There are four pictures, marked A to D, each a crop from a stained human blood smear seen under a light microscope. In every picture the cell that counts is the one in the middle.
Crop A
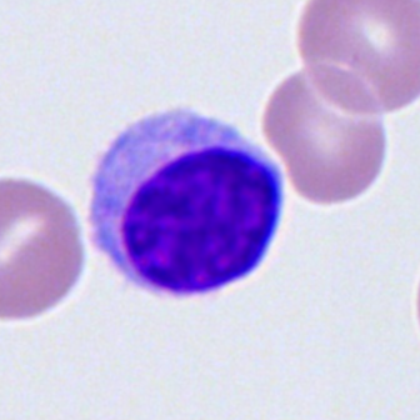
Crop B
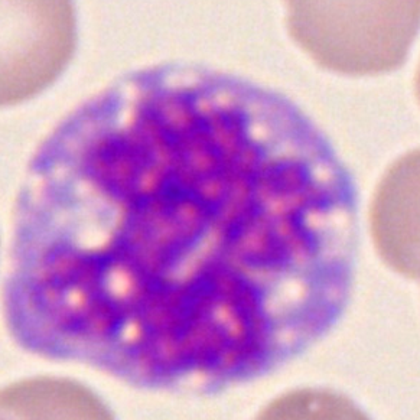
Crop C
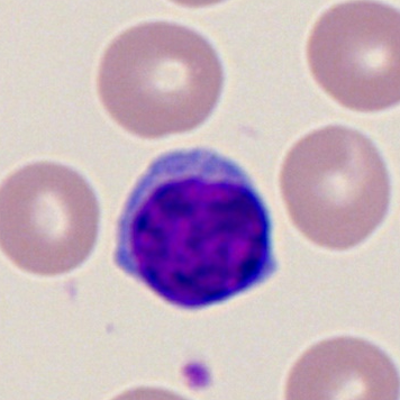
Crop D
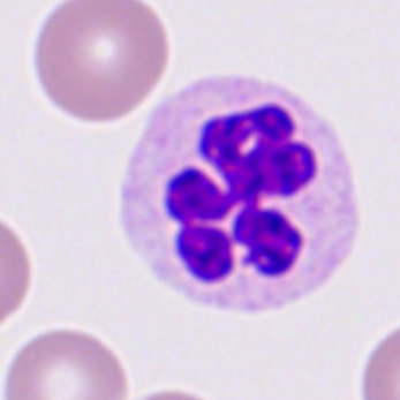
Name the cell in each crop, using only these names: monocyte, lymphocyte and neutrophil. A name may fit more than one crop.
A: lymphocyte
B: monocyte
C: lymphocyte
D: neutrophil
